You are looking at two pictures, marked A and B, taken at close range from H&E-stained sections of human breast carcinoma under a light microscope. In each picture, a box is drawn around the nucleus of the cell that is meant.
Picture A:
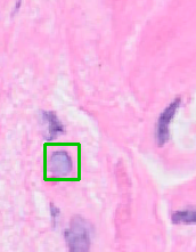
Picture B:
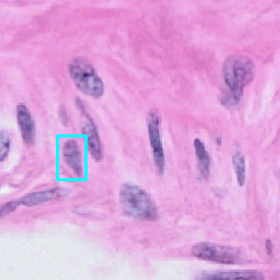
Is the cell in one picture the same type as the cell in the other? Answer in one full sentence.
Yes, they are the same type: both are endothelial cells.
